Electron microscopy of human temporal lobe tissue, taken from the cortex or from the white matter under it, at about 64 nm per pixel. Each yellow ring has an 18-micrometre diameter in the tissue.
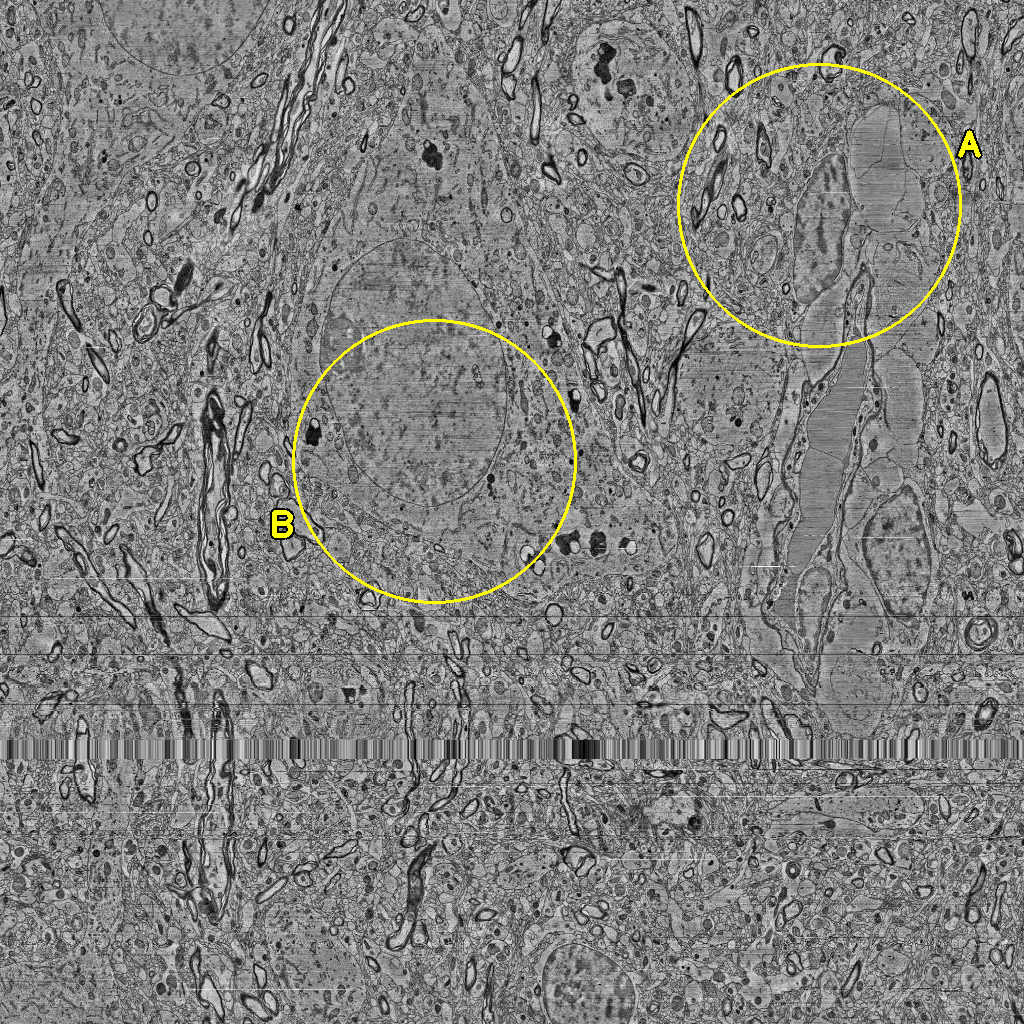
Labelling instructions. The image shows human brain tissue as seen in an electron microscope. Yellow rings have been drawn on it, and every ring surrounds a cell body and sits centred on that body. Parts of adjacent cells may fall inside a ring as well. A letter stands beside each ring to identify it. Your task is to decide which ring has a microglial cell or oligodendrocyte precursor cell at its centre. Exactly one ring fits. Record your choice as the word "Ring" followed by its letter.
Ring A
